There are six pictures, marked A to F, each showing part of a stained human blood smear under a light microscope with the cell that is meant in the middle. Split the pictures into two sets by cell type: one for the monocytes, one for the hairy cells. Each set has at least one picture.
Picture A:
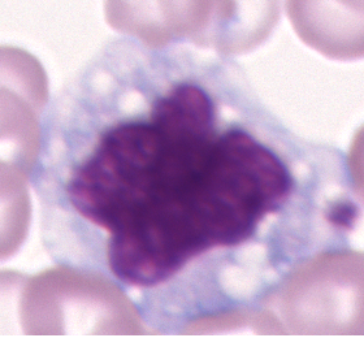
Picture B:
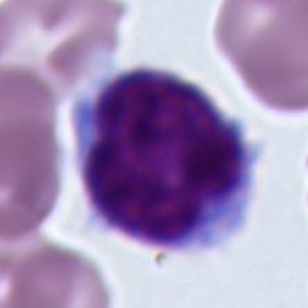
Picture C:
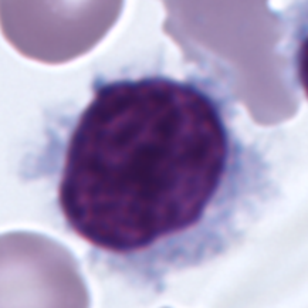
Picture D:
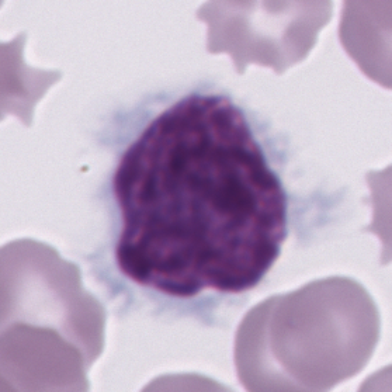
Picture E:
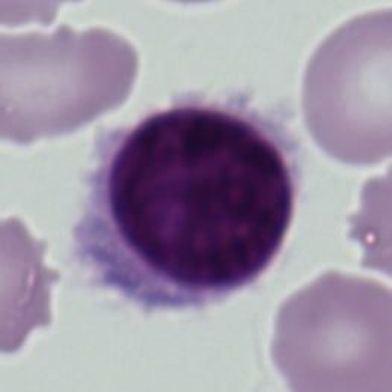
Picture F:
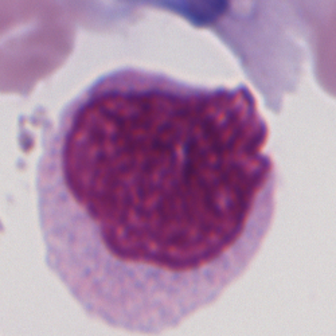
A: monocyte
B: hairy cell
C: hairy cell
D: hairy cell
E: hairy cell
F: monocyte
